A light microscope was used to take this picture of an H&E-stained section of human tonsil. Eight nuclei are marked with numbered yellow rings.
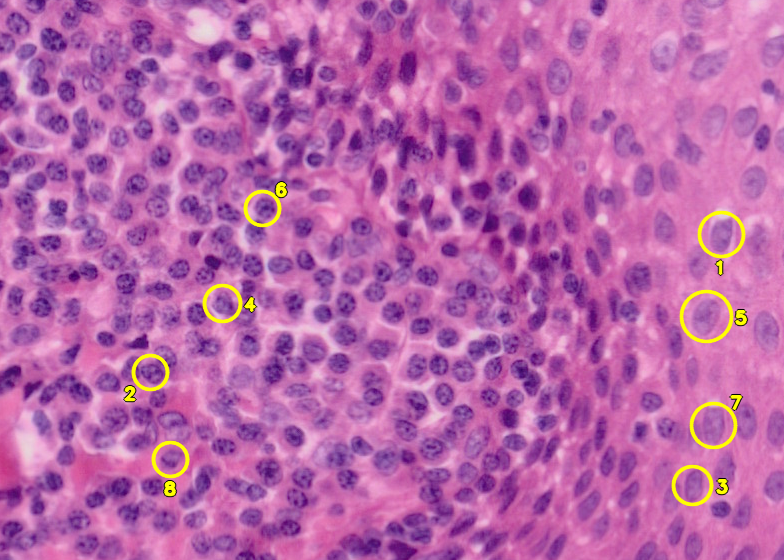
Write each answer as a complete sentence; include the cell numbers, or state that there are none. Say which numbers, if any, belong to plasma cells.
The cells with numbers 2, 4, 6 and 8 are plasma cells by type.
